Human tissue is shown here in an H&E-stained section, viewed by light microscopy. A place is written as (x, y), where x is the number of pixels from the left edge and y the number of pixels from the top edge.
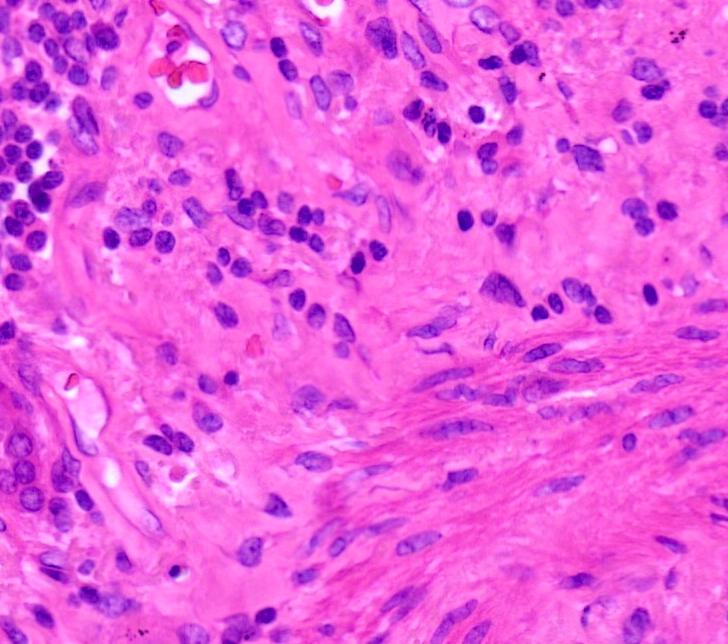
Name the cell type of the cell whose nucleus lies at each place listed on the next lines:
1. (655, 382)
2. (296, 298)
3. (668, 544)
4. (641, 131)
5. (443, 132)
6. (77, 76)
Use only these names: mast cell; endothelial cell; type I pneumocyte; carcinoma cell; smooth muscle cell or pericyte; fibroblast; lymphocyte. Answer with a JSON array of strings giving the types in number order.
["smooth muscle cell or pericyte", "lymphocyte", "smooth muscle cell or pericyte", "lymphocyte", "lymphocyte", "lymphocyte"]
